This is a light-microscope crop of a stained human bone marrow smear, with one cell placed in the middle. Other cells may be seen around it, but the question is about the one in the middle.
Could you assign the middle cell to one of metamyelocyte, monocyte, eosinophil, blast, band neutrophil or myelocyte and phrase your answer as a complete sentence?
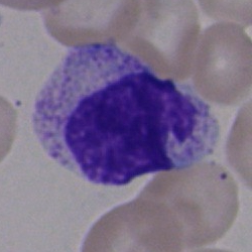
The cell positioned in the middle of the field is a myelocyte.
